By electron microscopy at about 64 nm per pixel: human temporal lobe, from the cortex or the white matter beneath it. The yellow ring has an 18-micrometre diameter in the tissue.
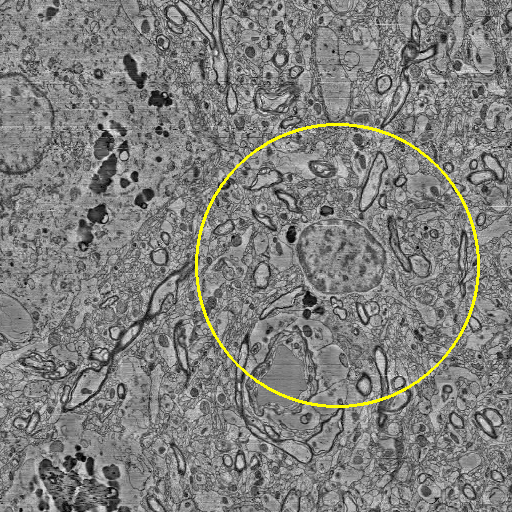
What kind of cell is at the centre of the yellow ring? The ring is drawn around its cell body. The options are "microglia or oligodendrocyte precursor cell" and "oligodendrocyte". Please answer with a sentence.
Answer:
The yellow ring marks the cell body of a microglial cell or oligodendrocyte precursor cell.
